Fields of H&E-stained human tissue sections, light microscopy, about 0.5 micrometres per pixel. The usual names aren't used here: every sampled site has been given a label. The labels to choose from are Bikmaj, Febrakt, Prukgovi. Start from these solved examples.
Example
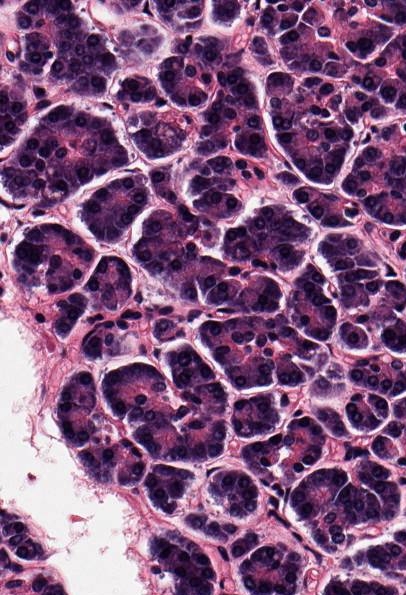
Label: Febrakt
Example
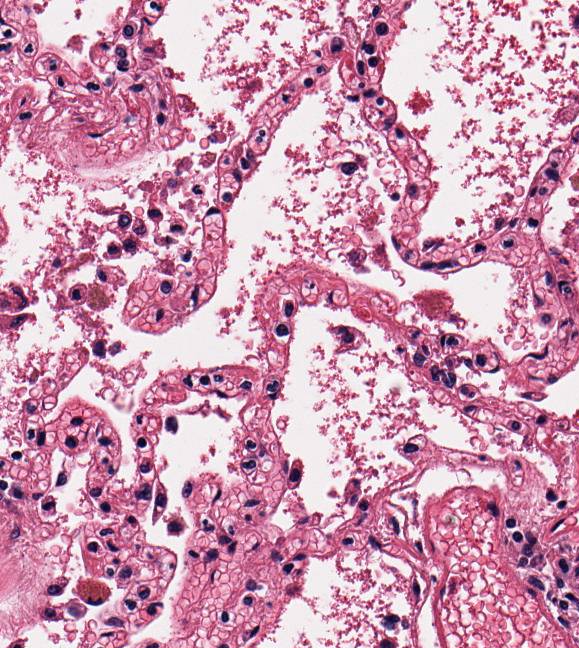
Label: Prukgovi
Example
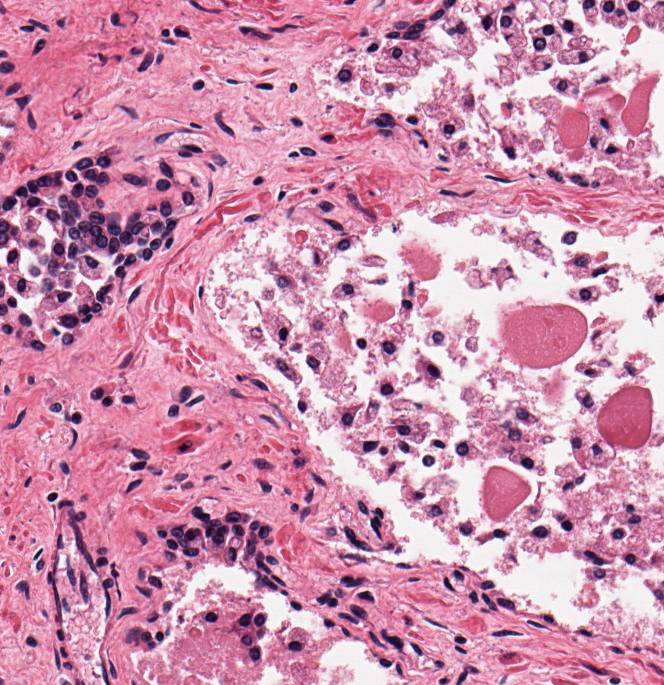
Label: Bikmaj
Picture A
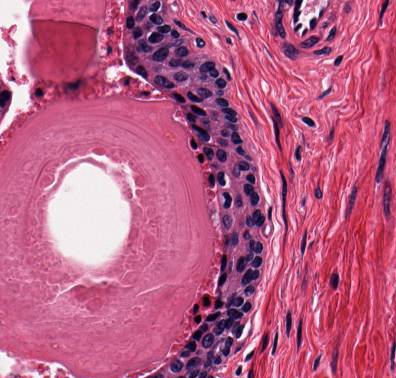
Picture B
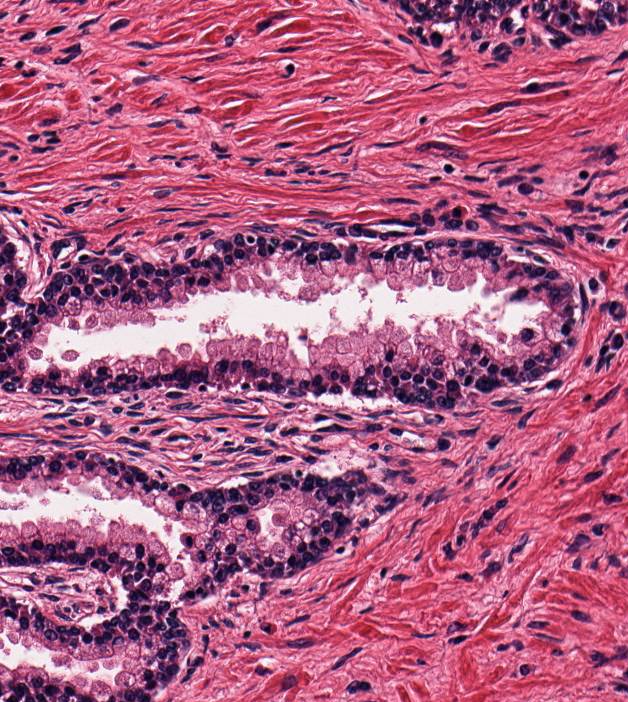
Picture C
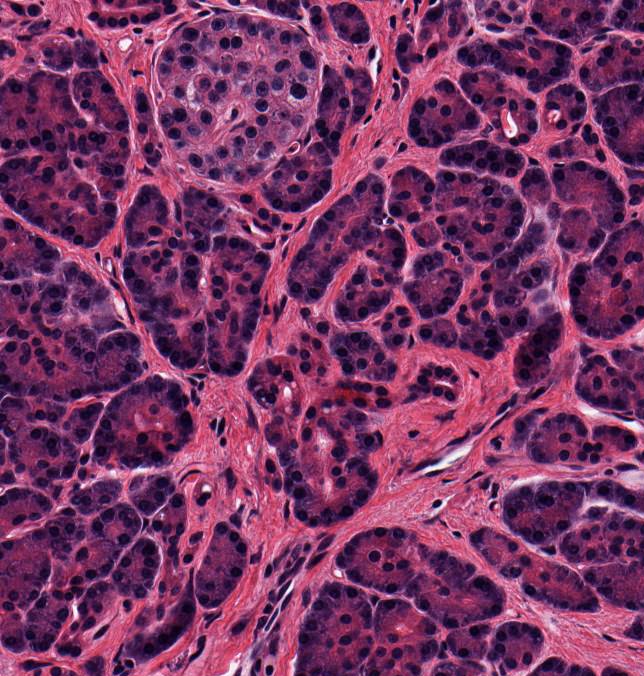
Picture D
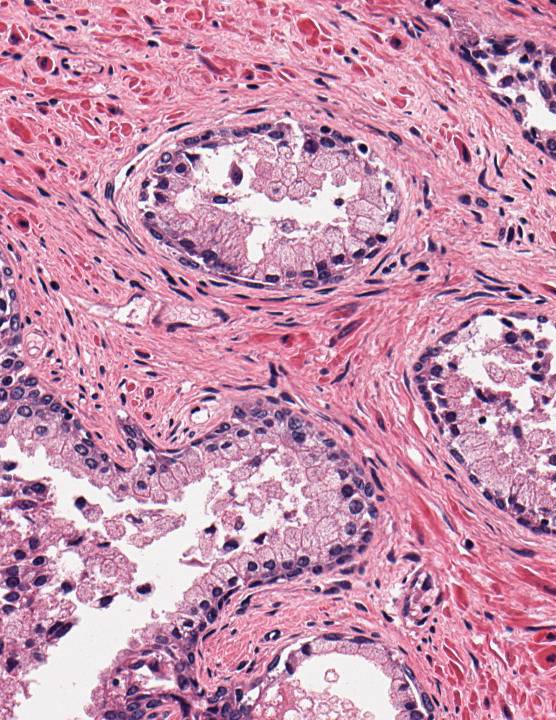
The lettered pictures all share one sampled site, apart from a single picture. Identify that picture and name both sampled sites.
C differs and shows Febrakt; the others show Bikmaj.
